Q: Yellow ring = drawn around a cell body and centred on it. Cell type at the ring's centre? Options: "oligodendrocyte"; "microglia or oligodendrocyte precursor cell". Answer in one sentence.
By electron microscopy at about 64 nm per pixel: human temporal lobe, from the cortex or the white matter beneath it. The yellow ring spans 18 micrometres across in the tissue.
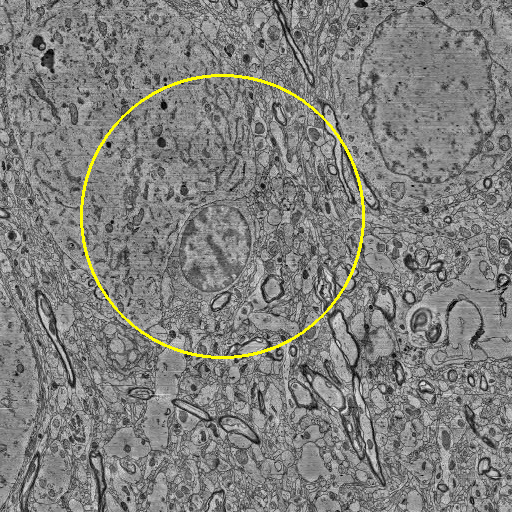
Centred in the ring is an oligodendrocyte.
